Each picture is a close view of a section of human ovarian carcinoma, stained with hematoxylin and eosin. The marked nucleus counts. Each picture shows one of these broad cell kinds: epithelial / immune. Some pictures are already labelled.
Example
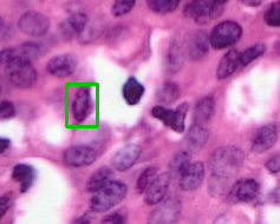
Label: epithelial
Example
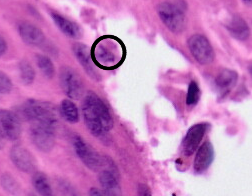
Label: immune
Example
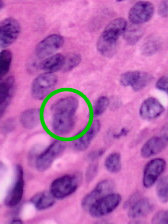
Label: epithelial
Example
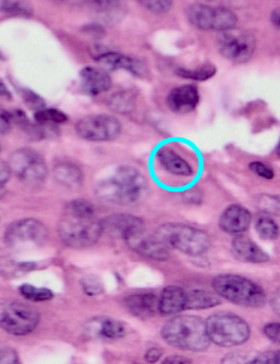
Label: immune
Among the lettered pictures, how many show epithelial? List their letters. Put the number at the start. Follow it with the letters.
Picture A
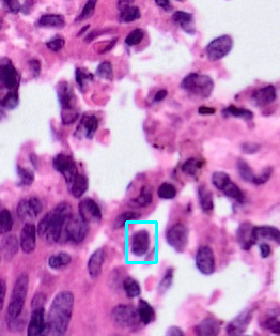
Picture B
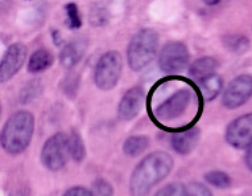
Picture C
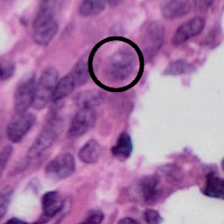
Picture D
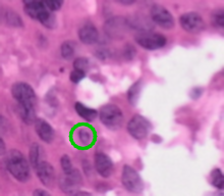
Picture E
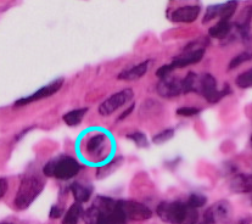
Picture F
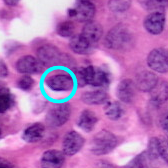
4, namely A, B, C, F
